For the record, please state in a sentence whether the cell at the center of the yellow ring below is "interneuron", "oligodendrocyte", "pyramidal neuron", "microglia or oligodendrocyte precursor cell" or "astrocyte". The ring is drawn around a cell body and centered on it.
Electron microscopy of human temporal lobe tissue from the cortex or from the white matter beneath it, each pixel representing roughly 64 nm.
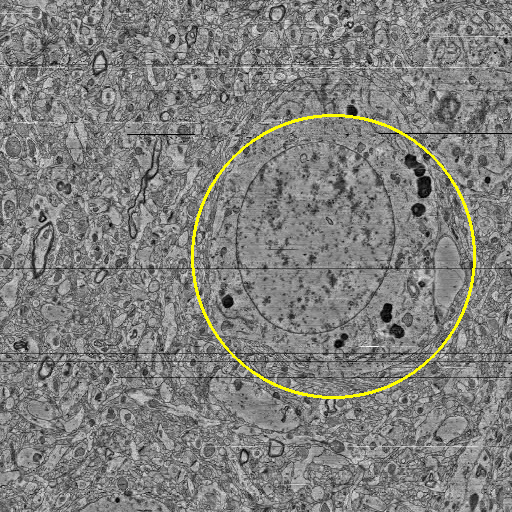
The cell at the ring's center is a pyramidal neuron.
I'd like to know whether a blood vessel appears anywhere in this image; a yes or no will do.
No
